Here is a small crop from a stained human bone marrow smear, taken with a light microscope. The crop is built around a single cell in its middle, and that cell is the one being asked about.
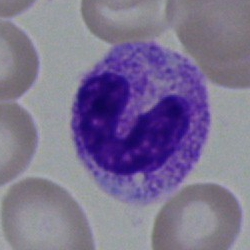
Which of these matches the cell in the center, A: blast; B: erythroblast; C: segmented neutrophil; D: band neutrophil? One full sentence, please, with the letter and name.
The middle of the crop contains a segmented neutrophil, so option C is right.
